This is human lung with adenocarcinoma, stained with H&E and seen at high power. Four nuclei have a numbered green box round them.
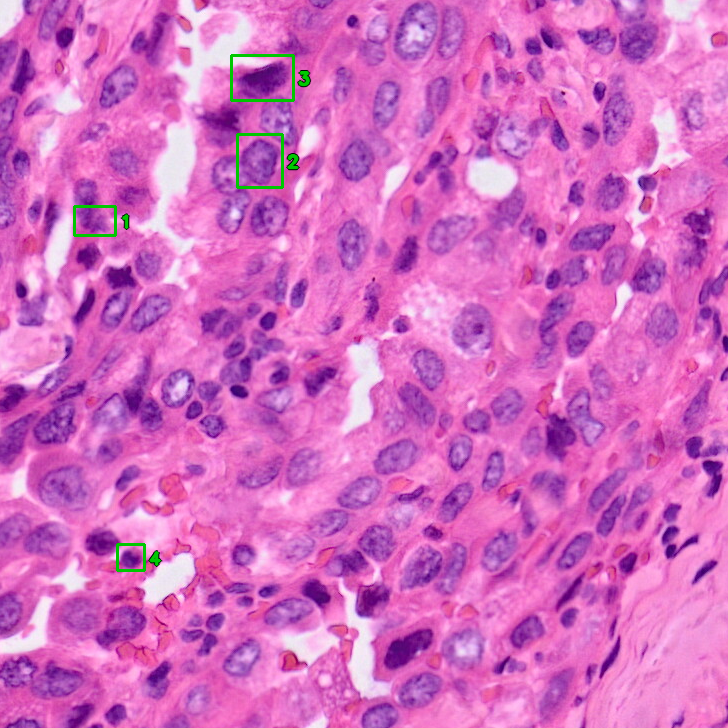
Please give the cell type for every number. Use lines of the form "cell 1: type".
cell 1: carcinoma cell
cell 2: carcinoma cell
cell 3: carcinoma cell
cell 4: lymphocyte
